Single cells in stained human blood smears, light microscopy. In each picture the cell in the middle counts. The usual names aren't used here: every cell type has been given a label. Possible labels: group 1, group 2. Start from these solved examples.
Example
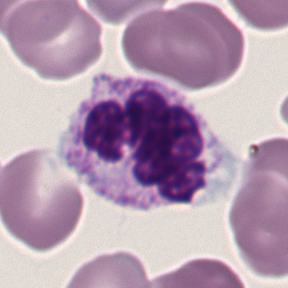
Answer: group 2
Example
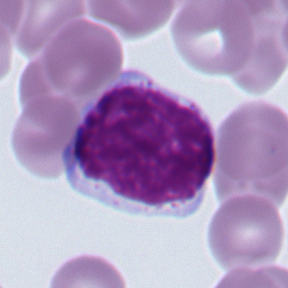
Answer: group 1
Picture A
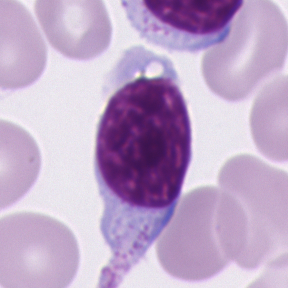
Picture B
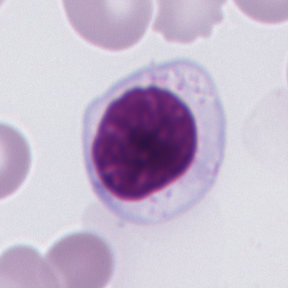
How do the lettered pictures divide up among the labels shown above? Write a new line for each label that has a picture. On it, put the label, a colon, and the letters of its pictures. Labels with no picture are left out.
group 1: A, B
